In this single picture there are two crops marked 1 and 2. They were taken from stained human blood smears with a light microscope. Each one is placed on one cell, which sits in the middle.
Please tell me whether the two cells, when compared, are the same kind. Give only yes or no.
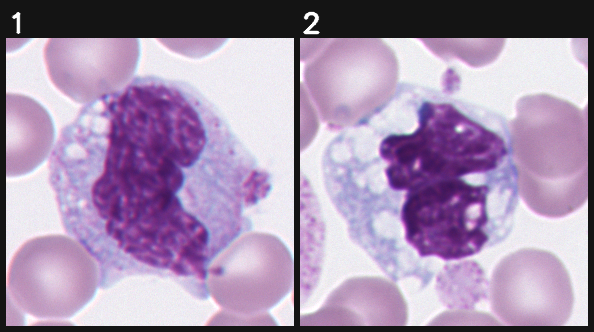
yes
